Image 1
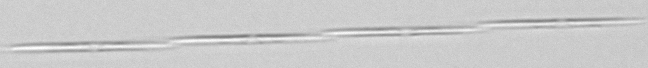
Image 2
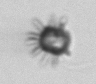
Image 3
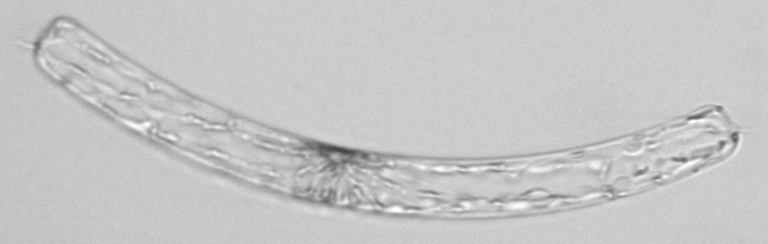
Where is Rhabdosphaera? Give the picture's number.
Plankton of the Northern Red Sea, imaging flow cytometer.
2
